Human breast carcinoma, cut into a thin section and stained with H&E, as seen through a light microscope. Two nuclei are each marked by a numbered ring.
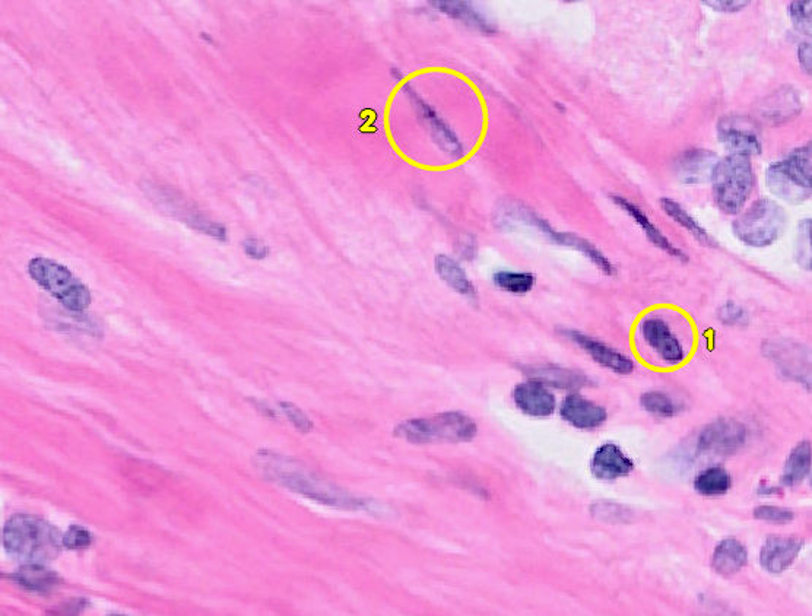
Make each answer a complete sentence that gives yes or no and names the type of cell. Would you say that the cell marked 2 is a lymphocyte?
No, the cell tagged 2 is a fibroblast, not a lymphocyte.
